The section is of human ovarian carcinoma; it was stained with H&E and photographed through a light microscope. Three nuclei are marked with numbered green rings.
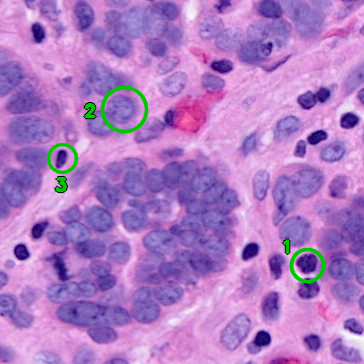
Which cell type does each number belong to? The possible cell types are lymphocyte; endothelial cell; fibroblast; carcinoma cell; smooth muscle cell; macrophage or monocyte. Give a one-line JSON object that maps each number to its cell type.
{"1": "lymphocyte", "2": "carcinoma cell", "3": "lymphocyte"}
